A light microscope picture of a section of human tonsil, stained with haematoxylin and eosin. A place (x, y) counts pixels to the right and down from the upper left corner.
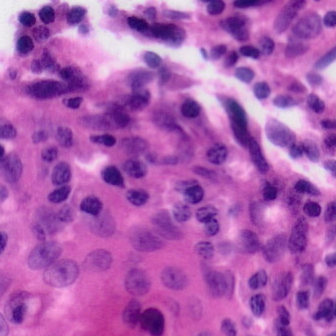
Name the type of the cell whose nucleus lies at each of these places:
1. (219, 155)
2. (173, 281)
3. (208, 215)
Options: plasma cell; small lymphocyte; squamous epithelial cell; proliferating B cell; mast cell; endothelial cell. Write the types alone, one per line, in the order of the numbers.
plasma cell
squamous epithelial cell
plasma cell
